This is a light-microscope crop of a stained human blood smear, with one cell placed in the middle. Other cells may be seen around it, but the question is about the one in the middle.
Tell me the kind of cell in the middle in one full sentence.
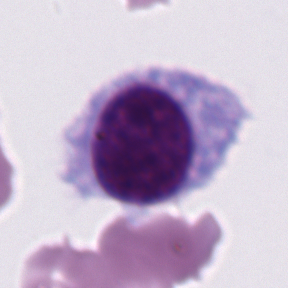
The cell shown in the center of this light-microscope crop is a hairy cell.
